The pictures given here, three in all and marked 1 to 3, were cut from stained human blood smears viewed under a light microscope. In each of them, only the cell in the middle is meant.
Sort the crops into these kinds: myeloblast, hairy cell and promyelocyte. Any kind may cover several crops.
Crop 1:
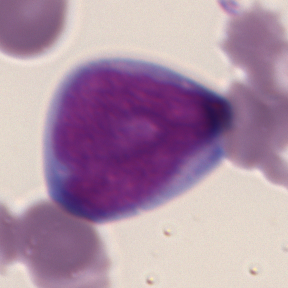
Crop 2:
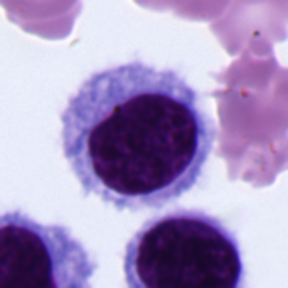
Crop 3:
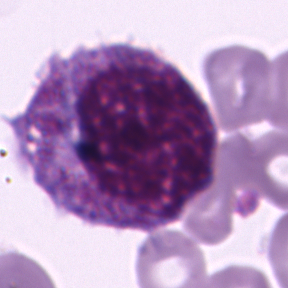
1: myeloblast
2: hairy cell
3: promyelocyte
